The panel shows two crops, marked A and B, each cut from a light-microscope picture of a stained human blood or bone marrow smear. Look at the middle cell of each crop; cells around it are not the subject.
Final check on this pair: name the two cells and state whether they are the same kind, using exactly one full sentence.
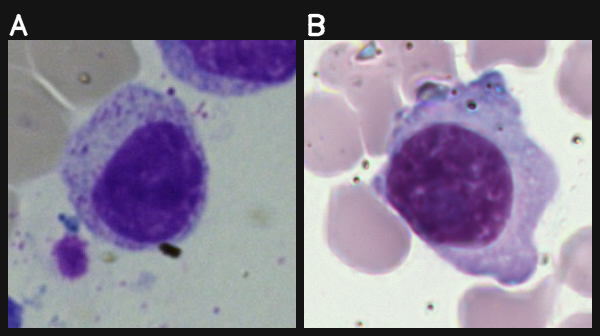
No, crop A and crop B contain, respectively, a myelocyte and a plasma cell.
